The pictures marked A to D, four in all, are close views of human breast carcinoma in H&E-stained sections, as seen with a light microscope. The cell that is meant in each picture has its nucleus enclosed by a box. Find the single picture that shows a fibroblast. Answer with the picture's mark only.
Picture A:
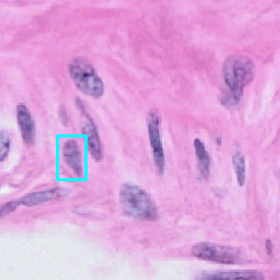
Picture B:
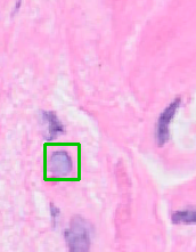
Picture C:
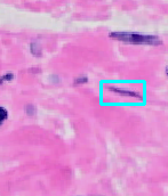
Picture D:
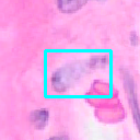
C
